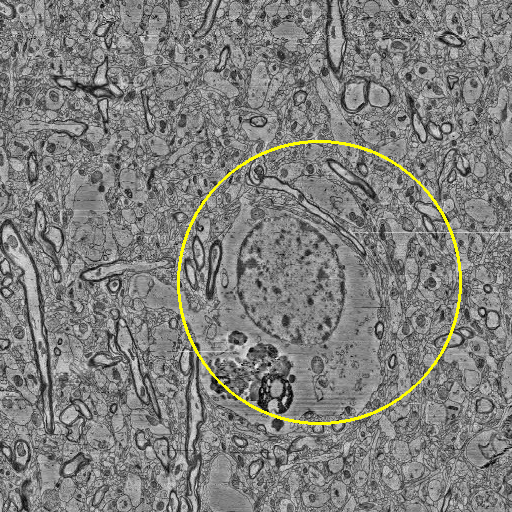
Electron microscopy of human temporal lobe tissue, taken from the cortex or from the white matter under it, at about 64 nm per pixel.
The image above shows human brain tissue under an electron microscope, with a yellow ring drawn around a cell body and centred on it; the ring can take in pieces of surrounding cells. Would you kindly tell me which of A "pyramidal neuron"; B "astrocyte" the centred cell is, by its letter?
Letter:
B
